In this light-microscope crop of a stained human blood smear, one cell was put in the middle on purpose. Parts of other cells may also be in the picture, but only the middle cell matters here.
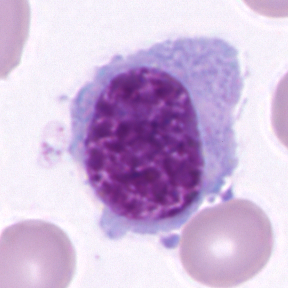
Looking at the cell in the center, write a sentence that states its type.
Centred in the crop is a plasma cell.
